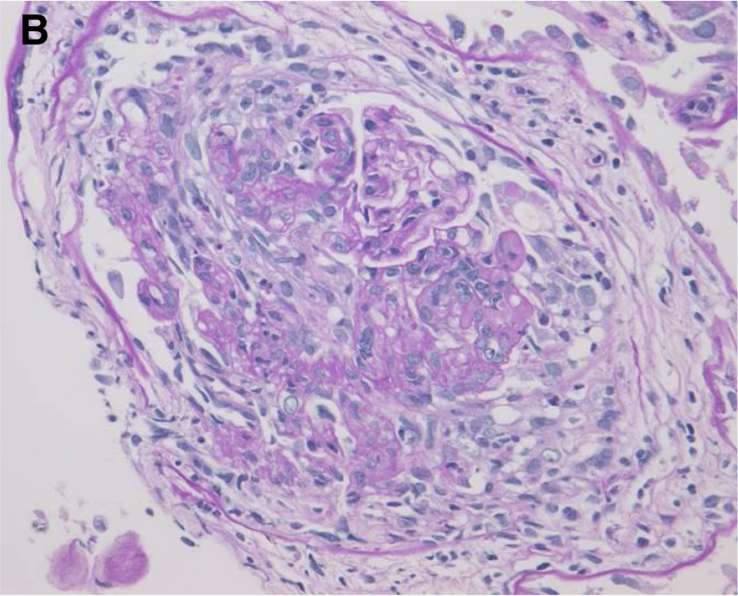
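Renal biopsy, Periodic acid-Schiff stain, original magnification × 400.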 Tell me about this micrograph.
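This is a kidney glomerulus in which the capillary tuft is surrounded by a crescent of proliferating cells within Bowman's space. The tuft shows lobulated capillary loops outlined by magenta basement membranes, with many crowded nuclei. Around it, several layers of plump cells with oval nuclei and pale cytoplasm fill the space between the tuft and the capsule, compressing the tuft. The outer capsular outline is only partly traceable as a magenta line, and the surrounding tissue outside it contains loose fibrous material with scattered nuclei. Adjacent tubule fragments with magenta-staining borders are seen at the edges.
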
